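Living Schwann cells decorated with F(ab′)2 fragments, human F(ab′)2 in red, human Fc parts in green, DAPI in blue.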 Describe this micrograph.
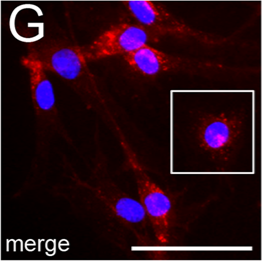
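Red puncta gather in the cytoplasm around each nucleus, and a few overlie the nucleus itself. Slender red-dotted processes extend from the cell bodies and cross the field between neighbouring cells. No green labelling is seen, so the staining appears purely red.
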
